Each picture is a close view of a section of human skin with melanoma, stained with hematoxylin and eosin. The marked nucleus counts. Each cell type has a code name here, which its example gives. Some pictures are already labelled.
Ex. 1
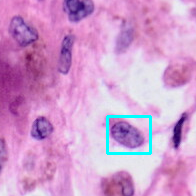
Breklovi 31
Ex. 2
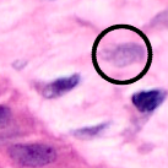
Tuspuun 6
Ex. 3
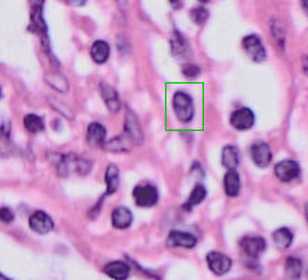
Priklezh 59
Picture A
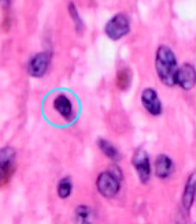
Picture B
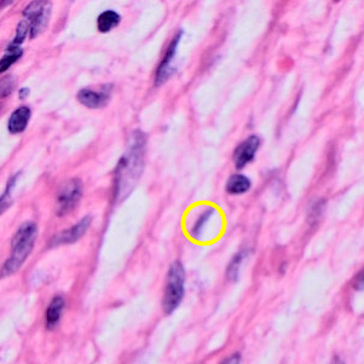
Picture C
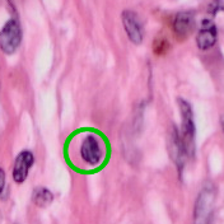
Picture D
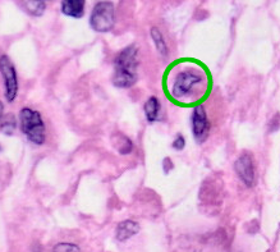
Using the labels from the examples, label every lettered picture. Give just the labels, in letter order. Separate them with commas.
Priklezh 59, Tuspuun 6, Priklezh 59, Breklovi 31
